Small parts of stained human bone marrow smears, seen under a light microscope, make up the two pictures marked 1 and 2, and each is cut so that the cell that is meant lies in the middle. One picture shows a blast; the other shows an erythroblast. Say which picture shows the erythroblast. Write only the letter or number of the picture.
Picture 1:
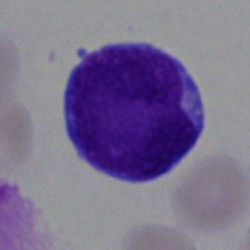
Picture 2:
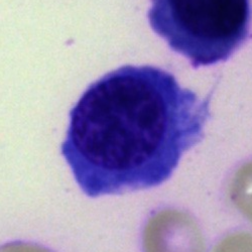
2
